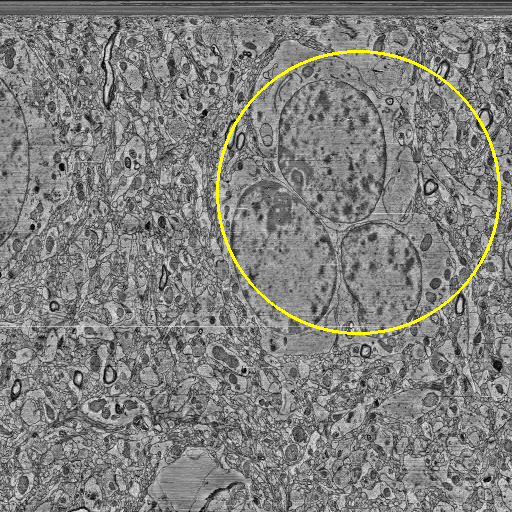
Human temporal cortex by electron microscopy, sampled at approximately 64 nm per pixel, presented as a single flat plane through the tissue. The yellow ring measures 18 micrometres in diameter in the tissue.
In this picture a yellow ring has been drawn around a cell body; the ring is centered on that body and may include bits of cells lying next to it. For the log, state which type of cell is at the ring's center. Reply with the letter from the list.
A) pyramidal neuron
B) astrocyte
B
